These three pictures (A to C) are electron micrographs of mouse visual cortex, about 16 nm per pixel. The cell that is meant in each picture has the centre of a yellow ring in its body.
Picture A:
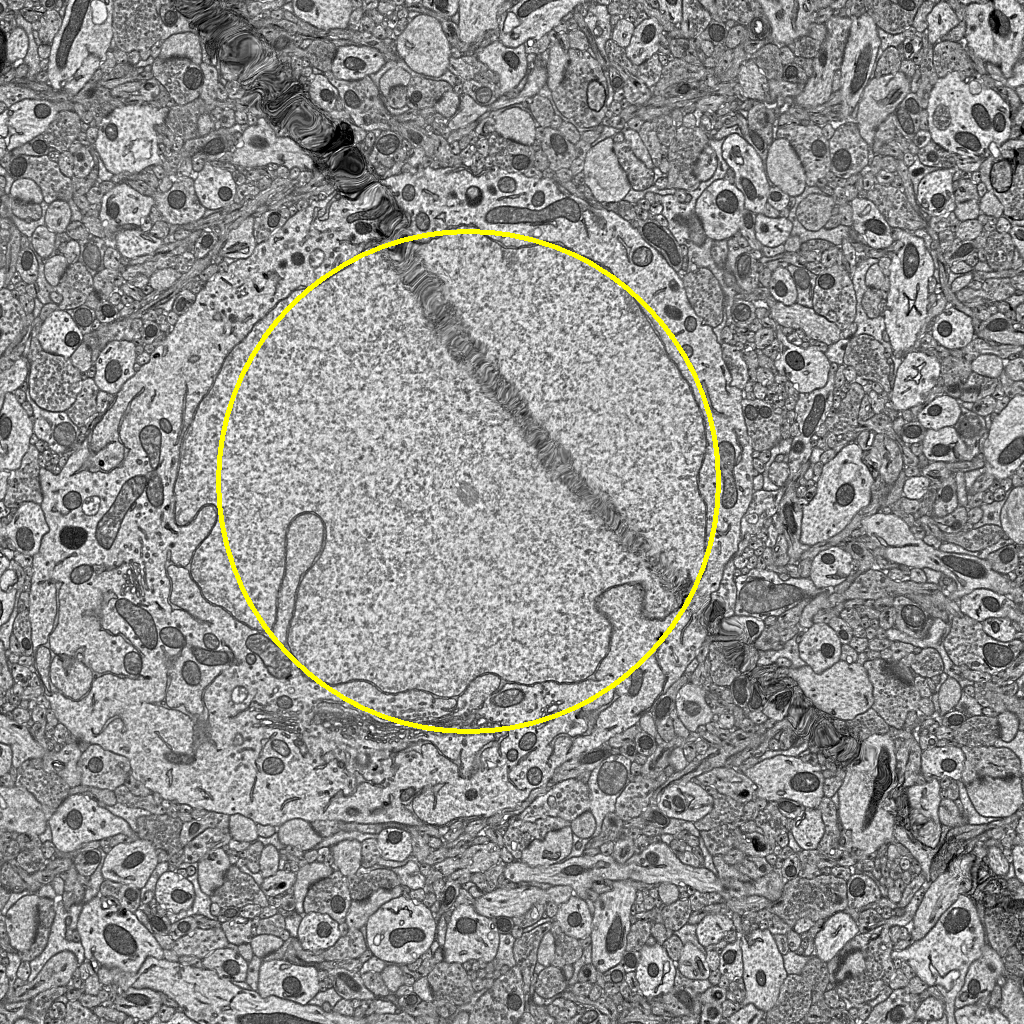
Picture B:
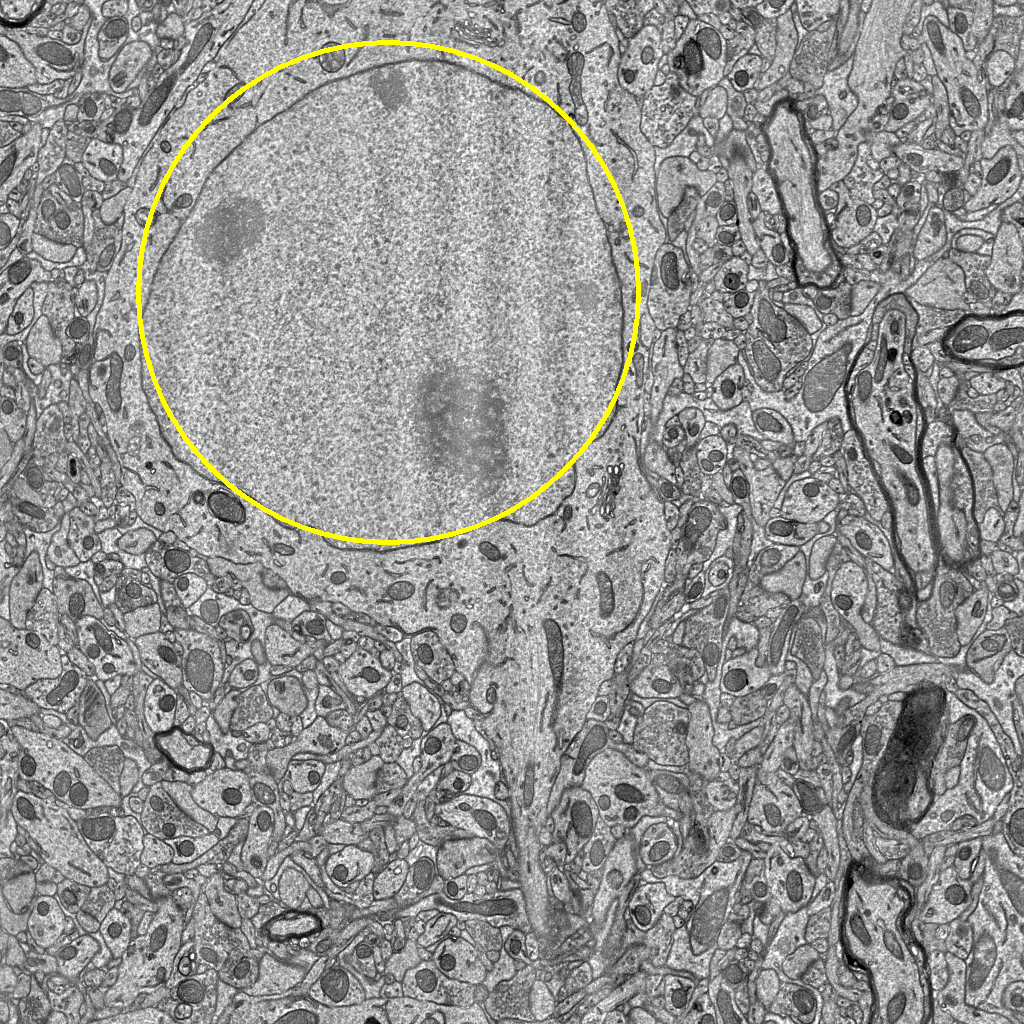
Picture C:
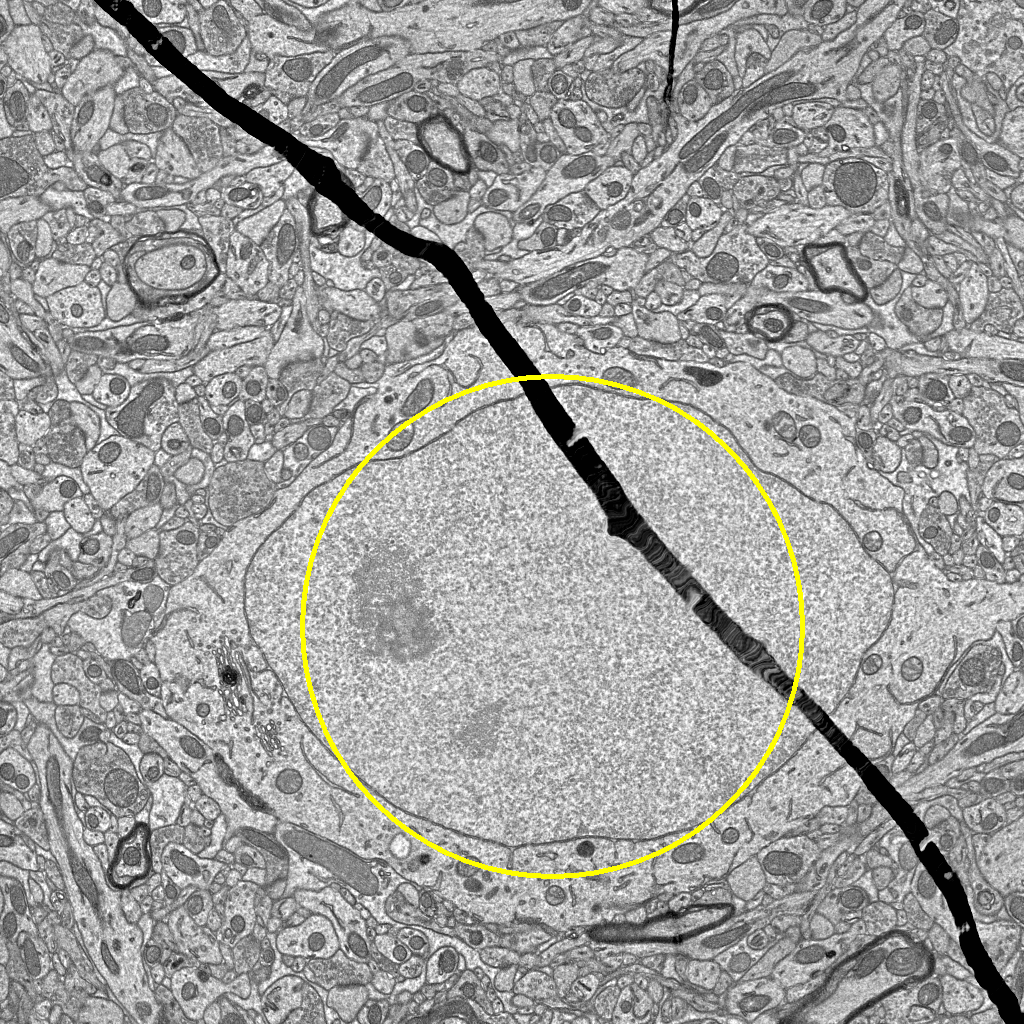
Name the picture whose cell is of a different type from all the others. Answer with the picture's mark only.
A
